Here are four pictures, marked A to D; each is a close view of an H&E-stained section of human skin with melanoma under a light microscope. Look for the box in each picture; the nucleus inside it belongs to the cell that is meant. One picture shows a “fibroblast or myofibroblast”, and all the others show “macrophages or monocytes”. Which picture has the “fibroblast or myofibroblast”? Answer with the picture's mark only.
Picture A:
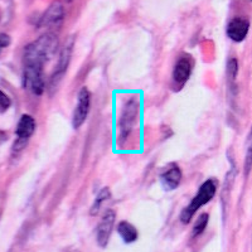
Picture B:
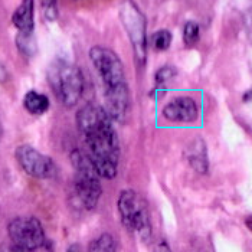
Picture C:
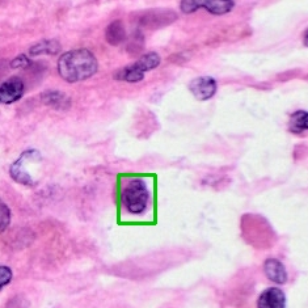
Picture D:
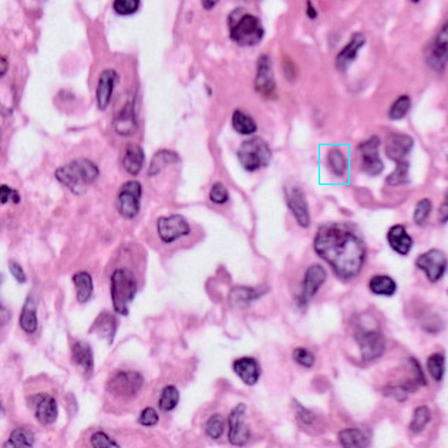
A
